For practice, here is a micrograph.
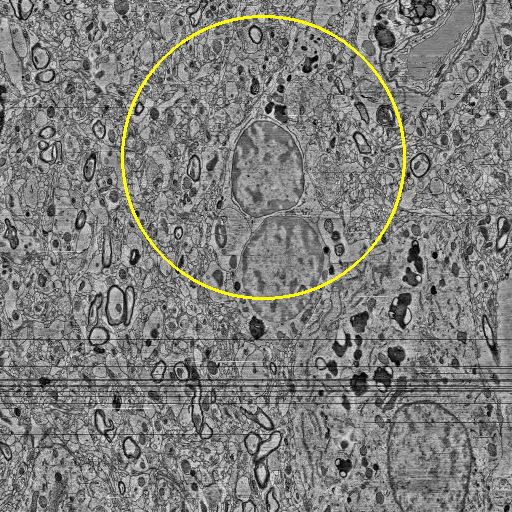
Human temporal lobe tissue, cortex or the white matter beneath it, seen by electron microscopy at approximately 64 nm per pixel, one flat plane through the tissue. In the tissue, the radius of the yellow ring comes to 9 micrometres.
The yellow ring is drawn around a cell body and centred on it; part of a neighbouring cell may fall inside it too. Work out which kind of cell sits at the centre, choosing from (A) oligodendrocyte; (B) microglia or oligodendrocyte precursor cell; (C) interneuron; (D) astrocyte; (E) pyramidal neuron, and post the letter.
B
